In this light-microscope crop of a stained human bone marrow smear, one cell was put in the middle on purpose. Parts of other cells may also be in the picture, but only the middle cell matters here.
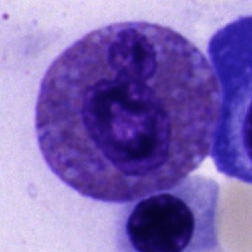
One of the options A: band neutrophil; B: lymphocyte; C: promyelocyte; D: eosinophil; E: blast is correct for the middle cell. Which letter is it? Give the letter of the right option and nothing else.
D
